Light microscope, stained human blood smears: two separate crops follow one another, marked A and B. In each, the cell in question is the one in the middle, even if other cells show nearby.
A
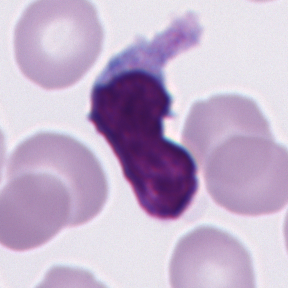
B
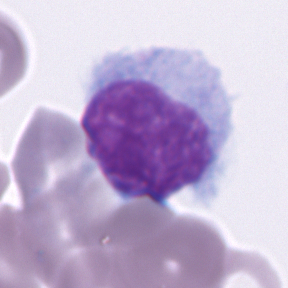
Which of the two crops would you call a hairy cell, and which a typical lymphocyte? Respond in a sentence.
The correct labels are a typical lymphocyte for crop A and a hairy cell for crop B.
